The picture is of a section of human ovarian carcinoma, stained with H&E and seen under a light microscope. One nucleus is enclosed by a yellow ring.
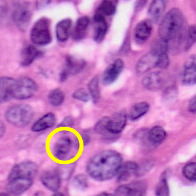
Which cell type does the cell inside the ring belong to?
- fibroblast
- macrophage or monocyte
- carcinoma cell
macrophage or monocyte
